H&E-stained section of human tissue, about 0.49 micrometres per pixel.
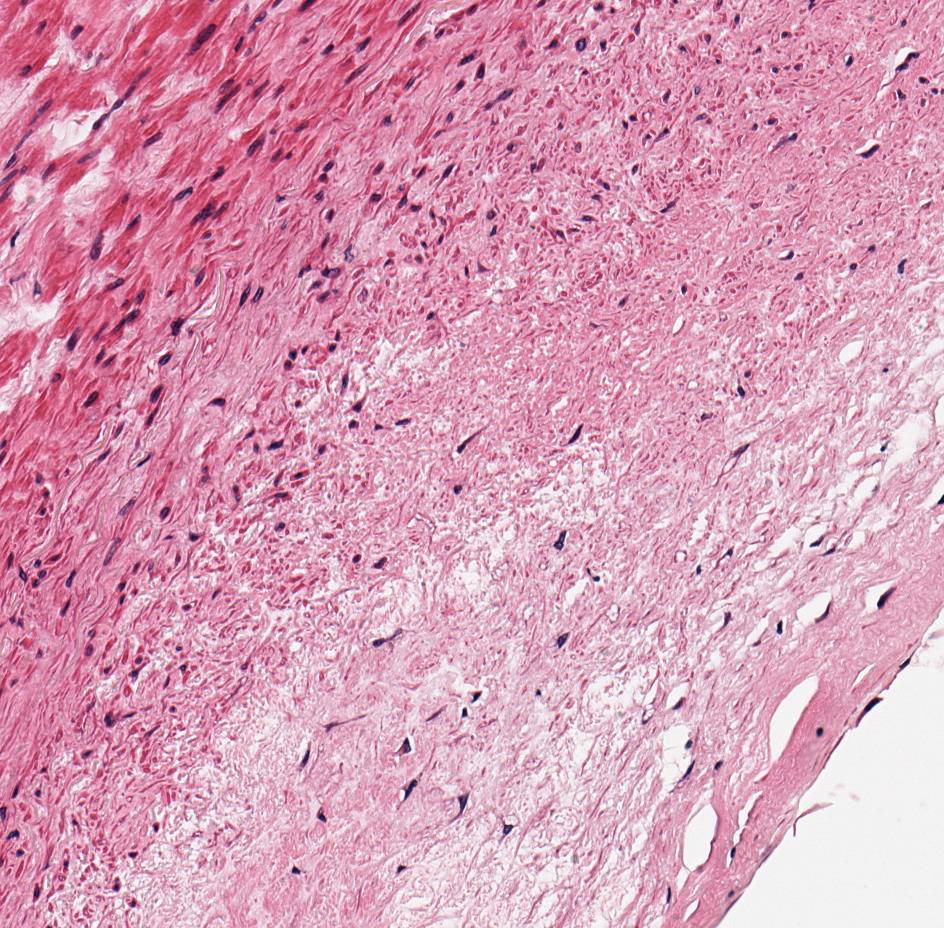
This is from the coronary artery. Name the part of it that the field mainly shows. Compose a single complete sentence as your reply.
The part of tissue on this slide is termed tunica intima.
